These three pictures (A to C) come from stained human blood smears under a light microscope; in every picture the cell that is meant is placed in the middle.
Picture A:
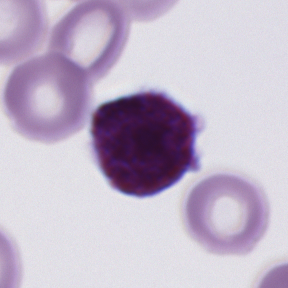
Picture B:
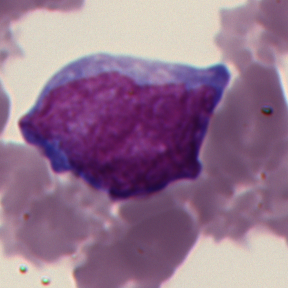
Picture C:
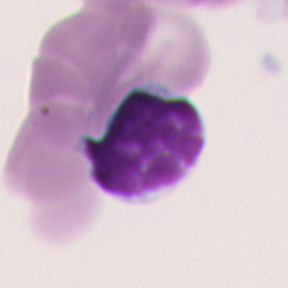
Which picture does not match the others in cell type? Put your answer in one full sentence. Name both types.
Picture C is the odd one out: it shows a typical lymphocyte, while the others show myeloblasts.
